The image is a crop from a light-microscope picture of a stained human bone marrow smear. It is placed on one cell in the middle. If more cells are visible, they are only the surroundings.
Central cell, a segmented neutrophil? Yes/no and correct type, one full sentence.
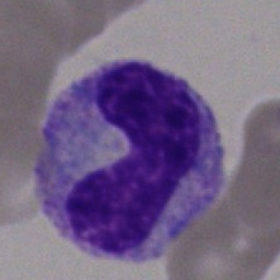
No, the correct answer for the middle cell is a band neutrophil, not a segmented neutrophil.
